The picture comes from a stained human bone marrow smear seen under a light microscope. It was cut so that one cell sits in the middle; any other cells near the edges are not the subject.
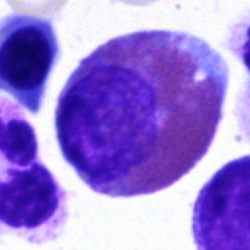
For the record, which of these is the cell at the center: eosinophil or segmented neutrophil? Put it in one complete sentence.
The cell found in the middle of this crop is an eosinophil.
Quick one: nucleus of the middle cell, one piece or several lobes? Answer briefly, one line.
In this cell the nucleus is a solitary compact mass, round, oval or kidney-shaped.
